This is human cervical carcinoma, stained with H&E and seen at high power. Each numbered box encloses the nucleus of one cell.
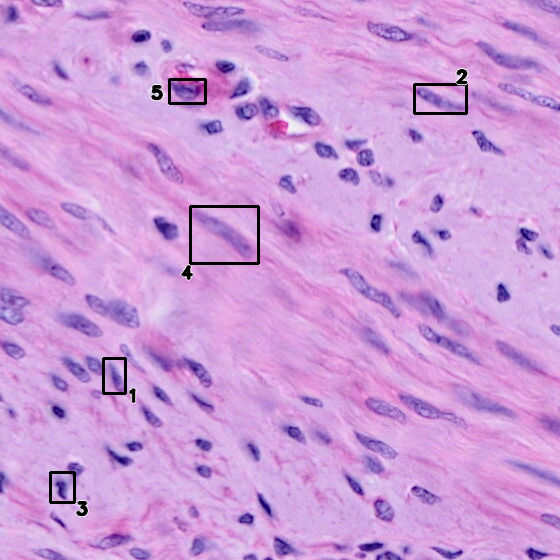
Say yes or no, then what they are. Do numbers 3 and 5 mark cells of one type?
No, hold on, cell 3 is a fibroblast and cell 5 is an endothelial cell.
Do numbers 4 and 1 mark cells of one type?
Yes, cell 4 is among the smooth muscle cells, and cell 1 is as well.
